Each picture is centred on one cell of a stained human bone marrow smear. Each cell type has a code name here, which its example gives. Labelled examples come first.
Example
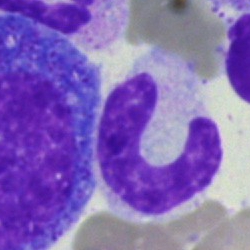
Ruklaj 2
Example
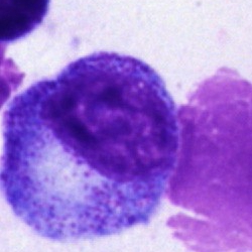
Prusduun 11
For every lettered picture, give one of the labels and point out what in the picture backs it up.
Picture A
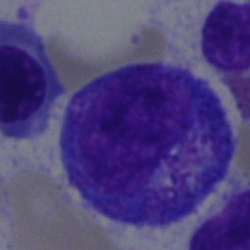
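Label: Prusduun 11. The chromatin looks finely granular rather than coarsely clumped.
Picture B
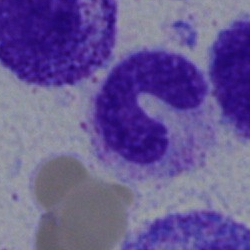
Label: Ruklaj 2. The chromatin is dark purple and coarsely clumped.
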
